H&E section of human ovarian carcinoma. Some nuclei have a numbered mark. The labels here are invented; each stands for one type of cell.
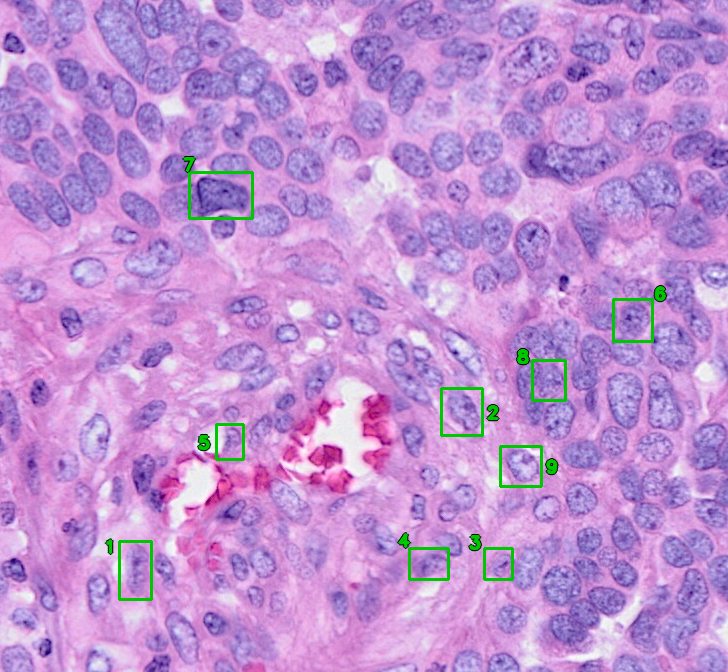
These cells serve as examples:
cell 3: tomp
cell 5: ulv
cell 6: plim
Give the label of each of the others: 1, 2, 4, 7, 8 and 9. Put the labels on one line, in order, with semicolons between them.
tomp; tomp; tomp; plim; plim; tomp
